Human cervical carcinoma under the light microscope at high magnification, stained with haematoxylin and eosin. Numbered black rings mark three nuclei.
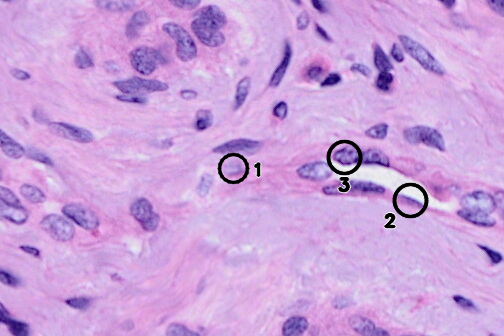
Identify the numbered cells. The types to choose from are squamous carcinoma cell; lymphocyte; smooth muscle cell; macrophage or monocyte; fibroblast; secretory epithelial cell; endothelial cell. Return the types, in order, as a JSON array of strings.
["smooth muscle cell", "endothelial cell", "endothelial cell"]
